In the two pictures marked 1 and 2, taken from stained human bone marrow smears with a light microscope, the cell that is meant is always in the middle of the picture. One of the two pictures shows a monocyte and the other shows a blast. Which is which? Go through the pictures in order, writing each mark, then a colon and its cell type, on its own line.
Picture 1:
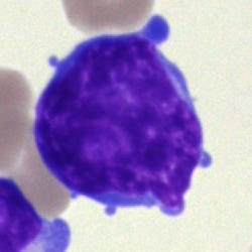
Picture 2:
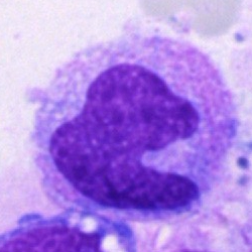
1: blast
2: monocyte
